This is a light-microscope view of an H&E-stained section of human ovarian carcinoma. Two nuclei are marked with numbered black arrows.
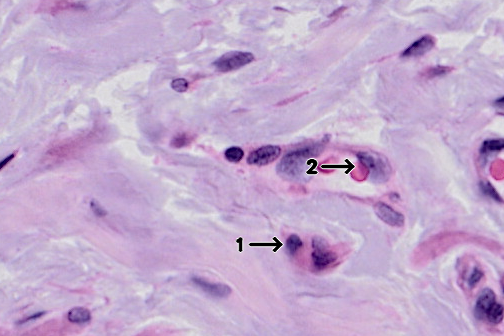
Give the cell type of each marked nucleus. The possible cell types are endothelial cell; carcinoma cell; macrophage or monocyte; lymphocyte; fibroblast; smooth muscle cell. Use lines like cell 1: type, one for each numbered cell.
cell 1: smooth muscle cell
cell 2: endothelial cell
